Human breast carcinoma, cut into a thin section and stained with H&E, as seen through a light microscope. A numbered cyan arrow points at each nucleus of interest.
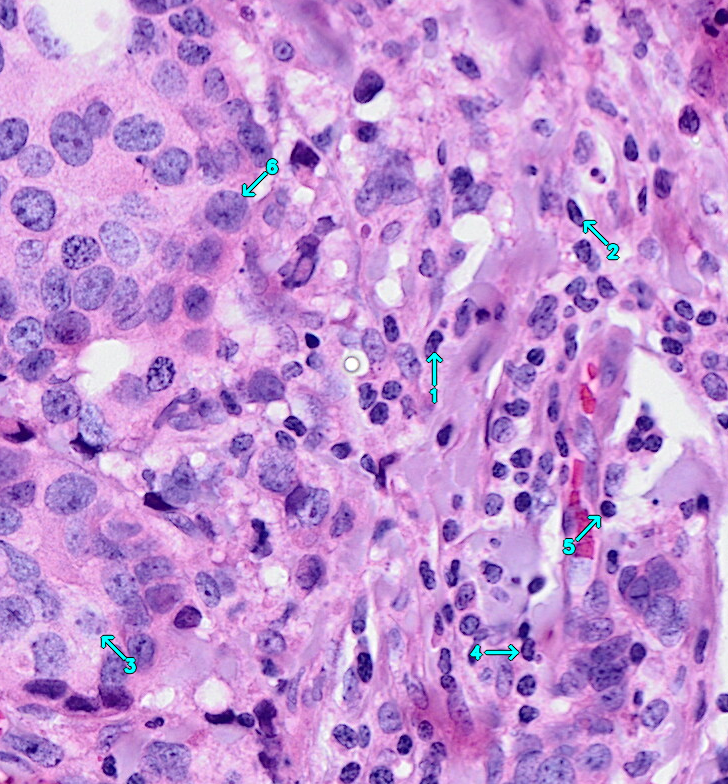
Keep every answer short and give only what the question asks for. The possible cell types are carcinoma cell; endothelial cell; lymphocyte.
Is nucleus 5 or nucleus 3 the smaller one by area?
5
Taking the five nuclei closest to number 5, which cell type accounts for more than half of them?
endothelial cell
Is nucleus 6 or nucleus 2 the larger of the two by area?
6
